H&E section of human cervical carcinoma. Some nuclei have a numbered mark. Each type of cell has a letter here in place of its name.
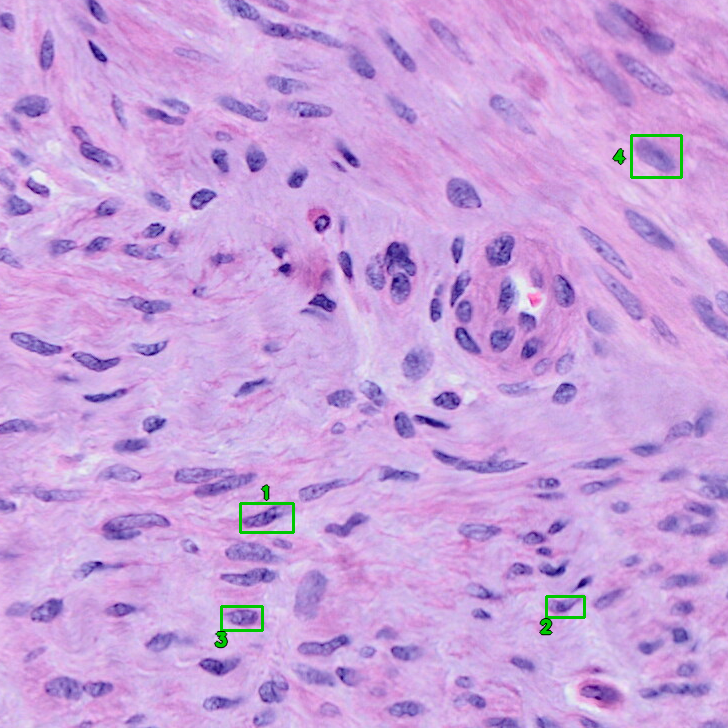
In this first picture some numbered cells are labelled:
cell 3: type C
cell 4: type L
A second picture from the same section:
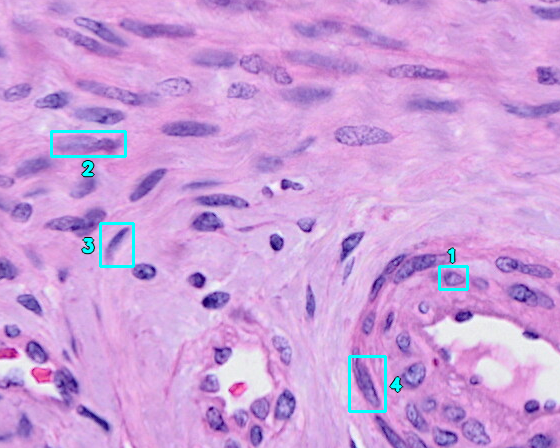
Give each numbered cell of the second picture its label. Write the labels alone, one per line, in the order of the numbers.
type C
type C
type L
type C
